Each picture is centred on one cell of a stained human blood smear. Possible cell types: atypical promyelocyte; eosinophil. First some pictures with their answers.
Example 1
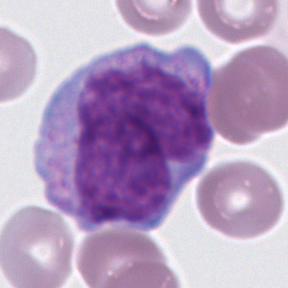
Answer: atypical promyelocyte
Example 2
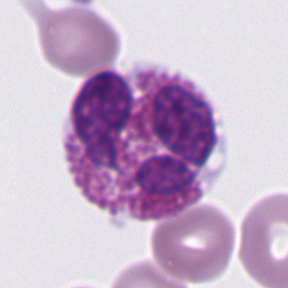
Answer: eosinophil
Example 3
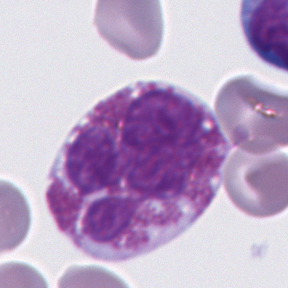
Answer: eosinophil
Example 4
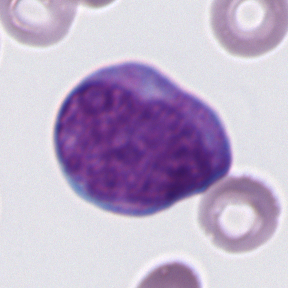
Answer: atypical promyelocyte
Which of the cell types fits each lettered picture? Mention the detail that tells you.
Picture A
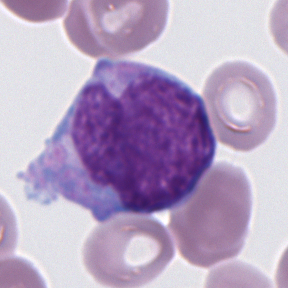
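atypical promyelocyte. Evidence: Fine pinkish-purple granules lie in the cytoplasm at the lower left of the cell.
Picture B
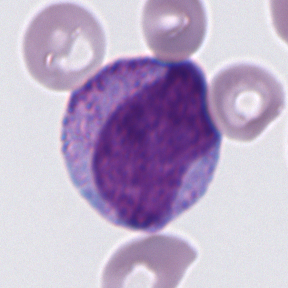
atypical promyelocyte. Evidence: Fine pink-purple granules are scattered through the cytoplasm.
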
